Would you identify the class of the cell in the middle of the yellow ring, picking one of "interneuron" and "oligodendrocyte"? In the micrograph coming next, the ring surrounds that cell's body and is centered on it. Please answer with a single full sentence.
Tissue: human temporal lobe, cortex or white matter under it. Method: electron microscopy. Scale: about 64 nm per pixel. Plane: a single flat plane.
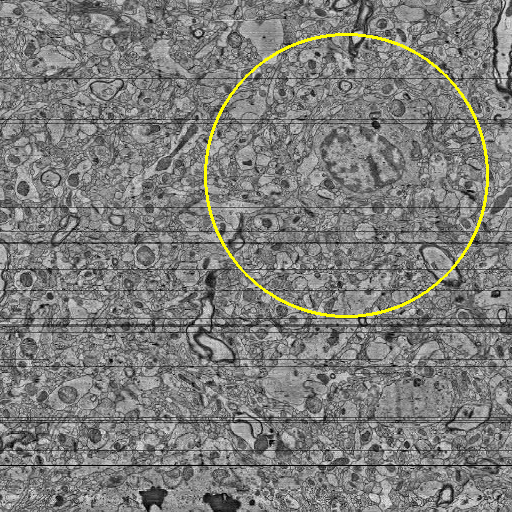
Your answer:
In the micrograph, it is an oligodendrocyte whose body lies at the ring's center.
